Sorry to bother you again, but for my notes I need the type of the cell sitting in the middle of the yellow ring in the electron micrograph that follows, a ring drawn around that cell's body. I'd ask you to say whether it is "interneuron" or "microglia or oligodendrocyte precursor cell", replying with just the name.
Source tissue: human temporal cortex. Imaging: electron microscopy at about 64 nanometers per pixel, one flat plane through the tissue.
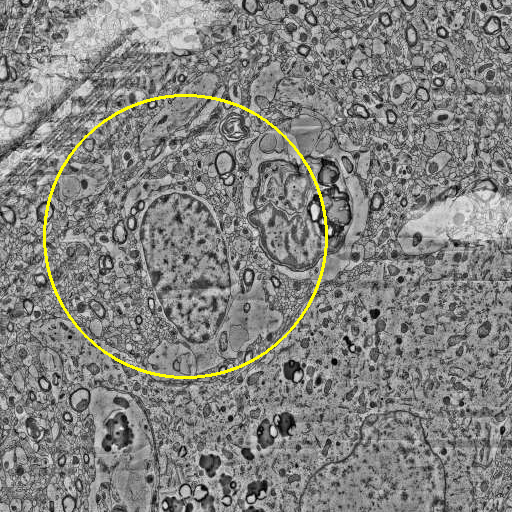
microglia or oligodendrocyte precursor cell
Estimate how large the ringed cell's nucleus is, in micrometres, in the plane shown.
In this plane, the nucleus of the cell at the centre of the ring measures about 8 by 5 micrometres.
